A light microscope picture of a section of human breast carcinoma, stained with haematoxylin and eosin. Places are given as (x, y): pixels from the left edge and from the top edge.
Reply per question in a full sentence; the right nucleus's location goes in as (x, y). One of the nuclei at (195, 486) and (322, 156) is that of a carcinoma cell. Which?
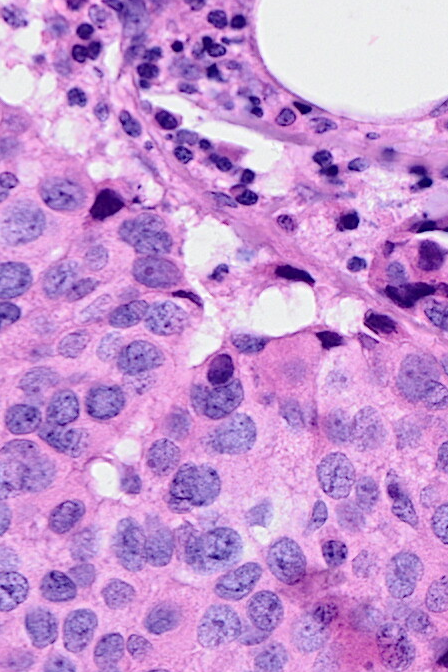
The nucleus at (195, 486), rather than the other, belongs to a carcinoma cell.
